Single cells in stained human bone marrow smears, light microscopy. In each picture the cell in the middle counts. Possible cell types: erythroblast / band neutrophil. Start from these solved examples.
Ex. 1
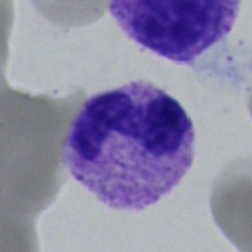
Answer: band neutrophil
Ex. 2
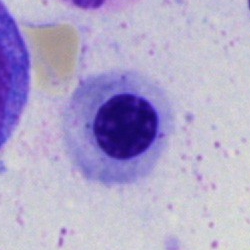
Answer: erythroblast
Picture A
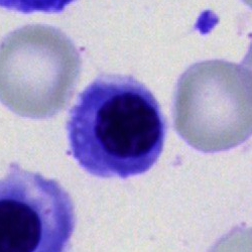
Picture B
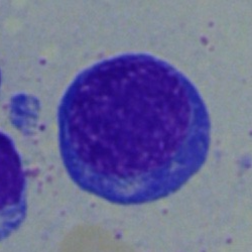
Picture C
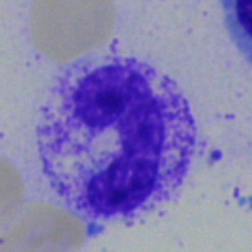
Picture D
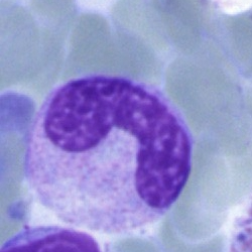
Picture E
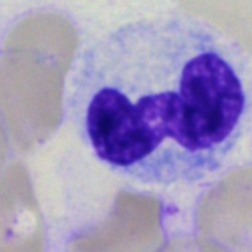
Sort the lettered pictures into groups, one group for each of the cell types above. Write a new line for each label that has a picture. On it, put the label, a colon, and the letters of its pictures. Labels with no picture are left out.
erythroblast: A, B
band neutrophil: C, D, E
